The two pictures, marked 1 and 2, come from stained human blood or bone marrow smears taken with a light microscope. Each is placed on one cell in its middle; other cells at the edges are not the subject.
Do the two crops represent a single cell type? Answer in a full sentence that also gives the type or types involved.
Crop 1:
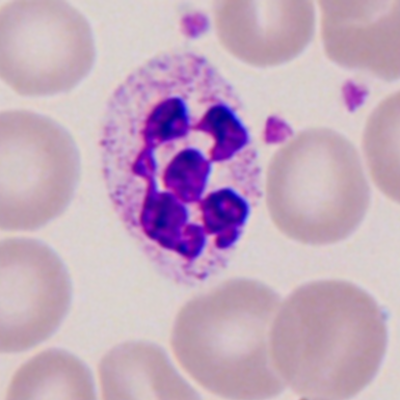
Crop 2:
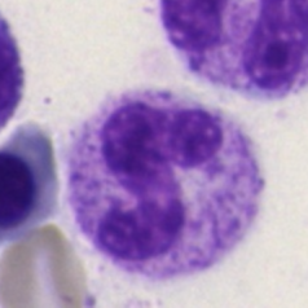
Yes, both crops have neutrophils as their central cells.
